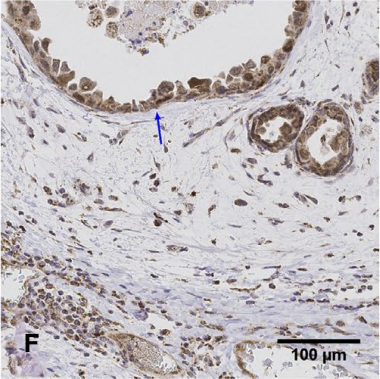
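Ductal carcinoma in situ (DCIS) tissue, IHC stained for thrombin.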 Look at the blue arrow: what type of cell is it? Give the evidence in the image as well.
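Myoepithelial cells. The arrow points to the thin cell layer at the outer rim of a duct. The layer lies just outside the brown-stained luminal epithelium.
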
